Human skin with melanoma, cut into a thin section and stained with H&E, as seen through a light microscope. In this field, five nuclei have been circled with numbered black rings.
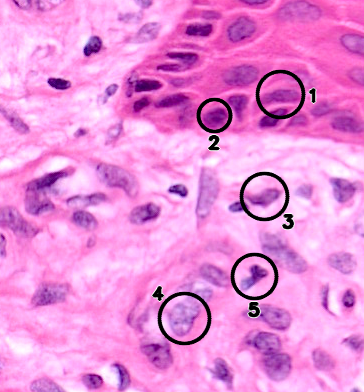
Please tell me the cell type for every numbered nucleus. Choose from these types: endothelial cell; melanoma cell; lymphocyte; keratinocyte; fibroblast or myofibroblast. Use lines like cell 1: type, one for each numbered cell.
cell 1: keratinocyte
cell 2: keratinocyte
cell 3: fibroblast or myofibroblast
cell 4: endothelial cell
cell 5: lymphocyte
